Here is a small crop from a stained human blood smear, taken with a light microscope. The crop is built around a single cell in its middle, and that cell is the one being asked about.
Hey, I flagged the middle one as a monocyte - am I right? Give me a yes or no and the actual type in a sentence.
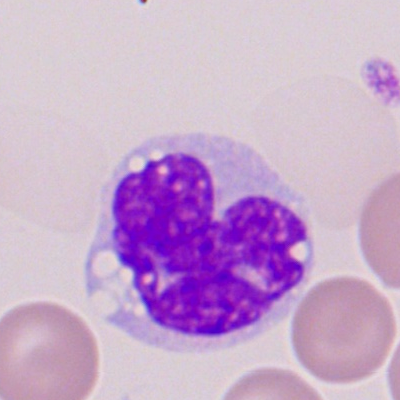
Yes, the cell shown centrally is a monocyte.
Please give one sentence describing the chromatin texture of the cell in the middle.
In this cell the chromatin is fine rather than coarsely clumped.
